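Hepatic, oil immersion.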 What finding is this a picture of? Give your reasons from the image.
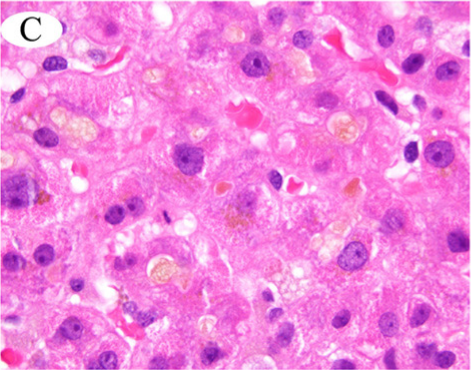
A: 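Pale yellow-brown globular material lies within the cytoplasm of large polygonal cells. Some yellow globules sit between cells.
Hence: bile pigment.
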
